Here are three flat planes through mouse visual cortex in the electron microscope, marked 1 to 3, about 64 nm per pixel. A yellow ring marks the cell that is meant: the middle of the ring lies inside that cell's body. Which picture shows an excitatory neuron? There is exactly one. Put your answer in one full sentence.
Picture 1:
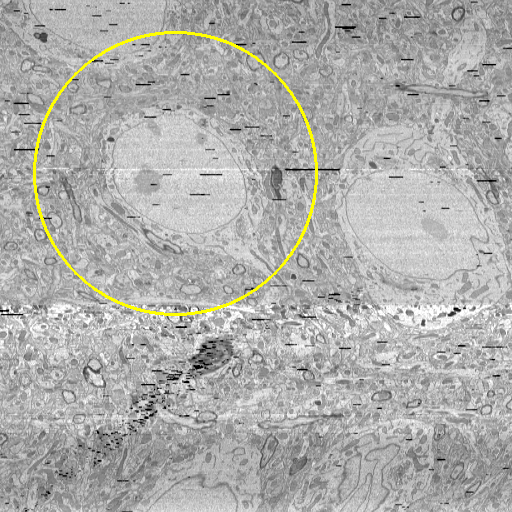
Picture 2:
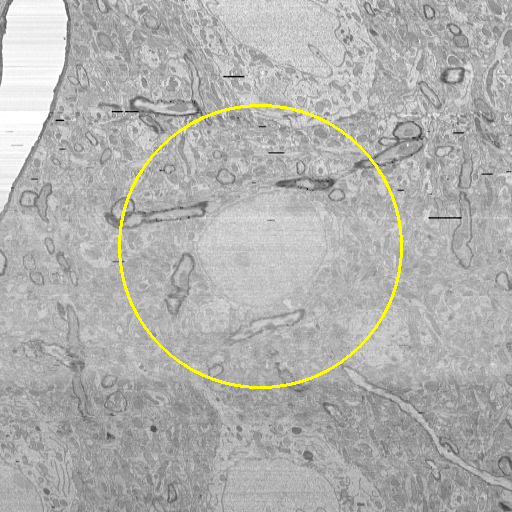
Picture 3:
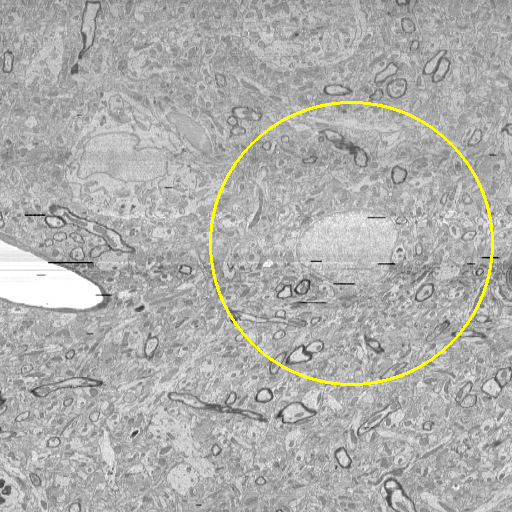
The picture with the excitatory neuron is 1.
